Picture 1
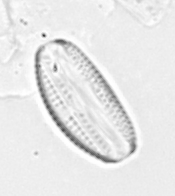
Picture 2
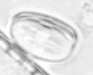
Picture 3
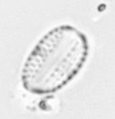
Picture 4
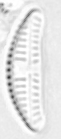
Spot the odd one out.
Picture 2 (Sellaphora among Amphora).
